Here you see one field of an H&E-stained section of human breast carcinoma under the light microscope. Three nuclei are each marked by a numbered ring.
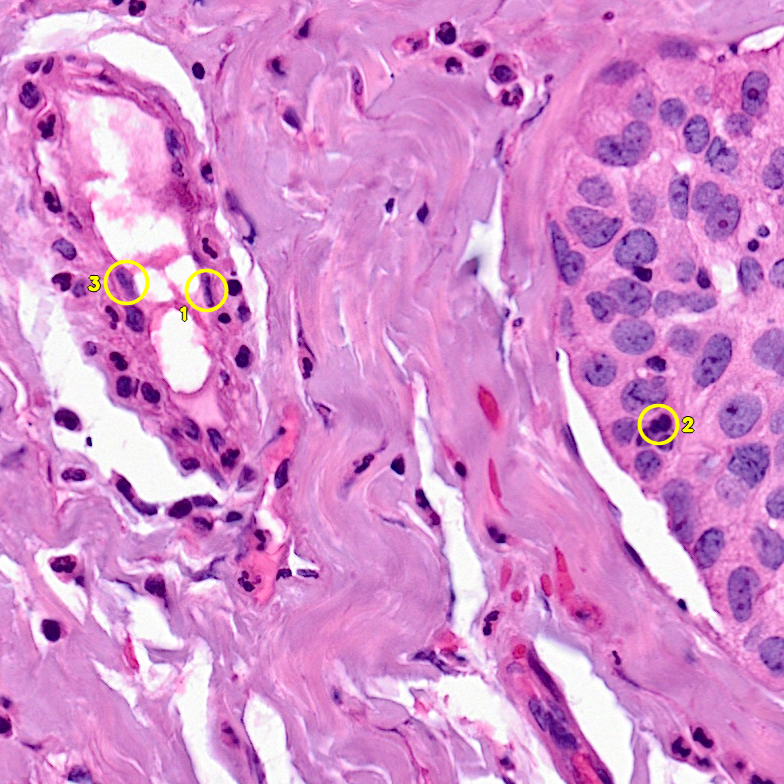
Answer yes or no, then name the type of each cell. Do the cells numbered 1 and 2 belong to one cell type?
No, cell 1 is identified as an endothelial cell, and cell 2 is identified as a carcinoma cell.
